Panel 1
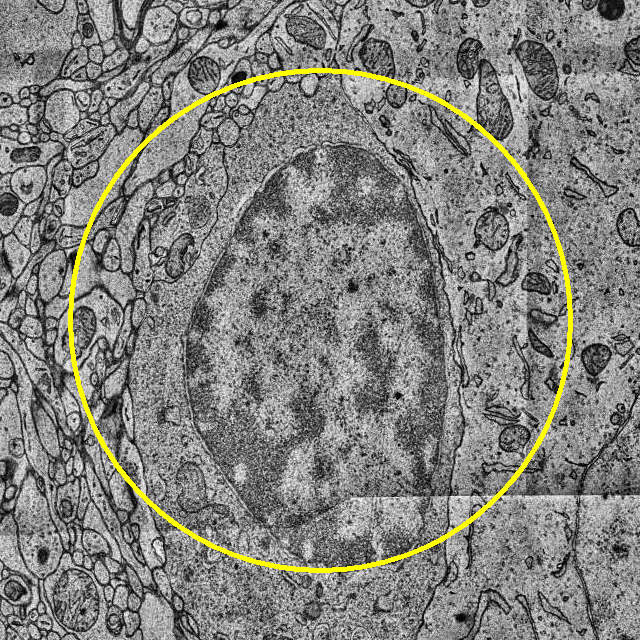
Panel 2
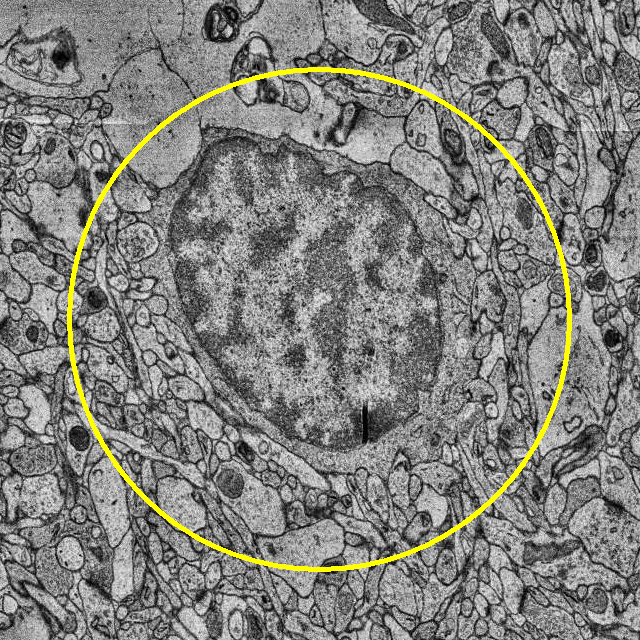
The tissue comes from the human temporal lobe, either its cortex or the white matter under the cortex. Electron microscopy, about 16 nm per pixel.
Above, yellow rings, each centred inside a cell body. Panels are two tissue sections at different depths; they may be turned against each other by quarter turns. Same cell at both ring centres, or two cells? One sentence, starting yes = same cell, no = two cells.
No, the yellow rings mark two separate cells, not one.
